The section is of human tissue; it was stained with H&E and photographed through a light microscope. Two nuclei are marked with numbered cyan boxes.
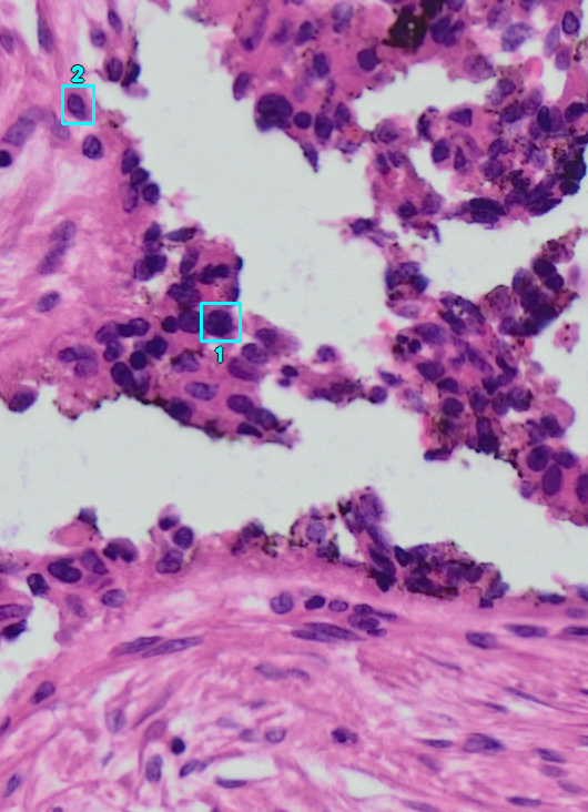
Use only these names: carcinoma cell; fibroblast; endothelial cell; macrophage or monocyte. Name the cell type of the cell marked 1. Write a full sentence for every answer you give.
Cell 1 in the field is a carcinoma cell.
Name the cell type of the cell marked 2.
The correct label for cell 2 is a macrophage or monocyte.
